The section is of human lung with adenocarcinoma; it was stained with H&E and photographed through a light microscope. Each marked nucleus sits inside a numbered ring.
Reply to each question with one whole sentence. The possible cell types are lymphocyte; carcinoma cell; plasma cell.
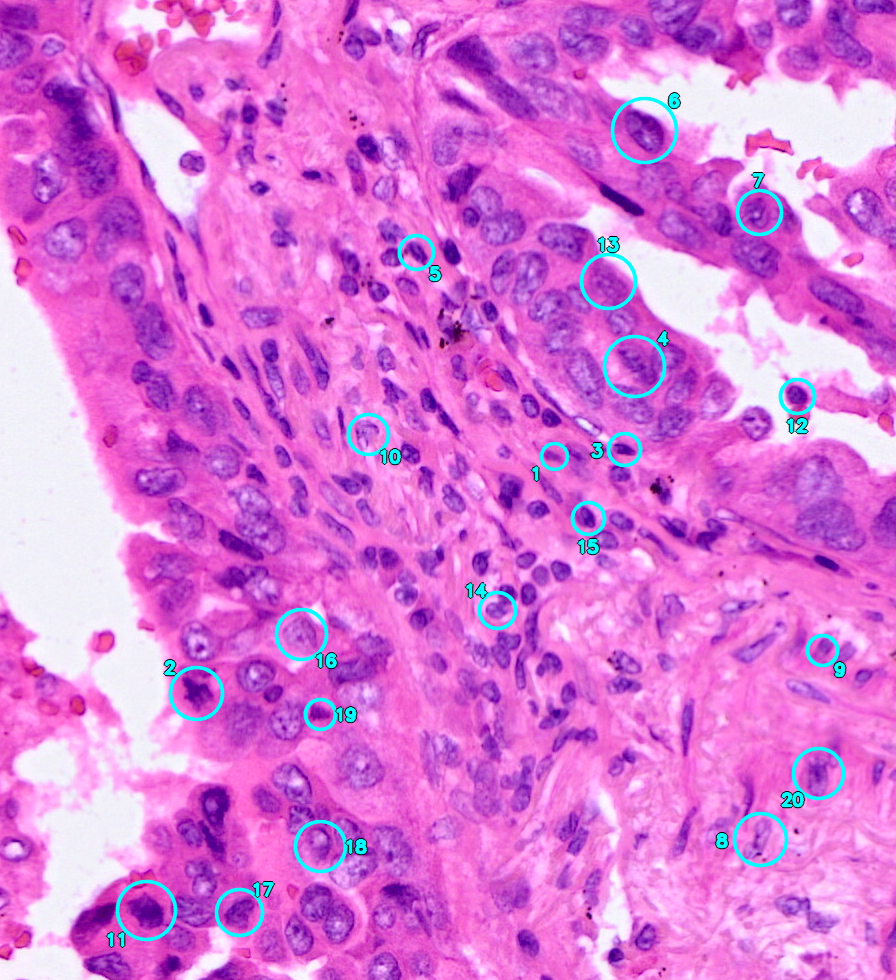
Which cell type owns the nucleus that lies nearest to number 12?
It is a carcinoma cell whose nucleus is nearest to number 12.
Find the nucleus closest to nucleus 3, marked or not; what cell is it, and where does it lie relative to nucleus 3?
The nearest nucleus is that of a plasma cell and lies below nucleus 3.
